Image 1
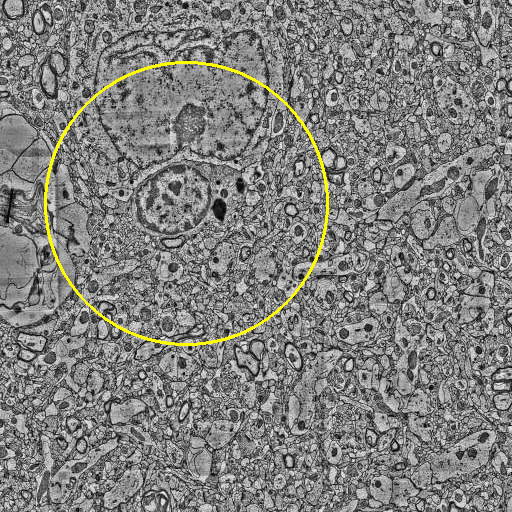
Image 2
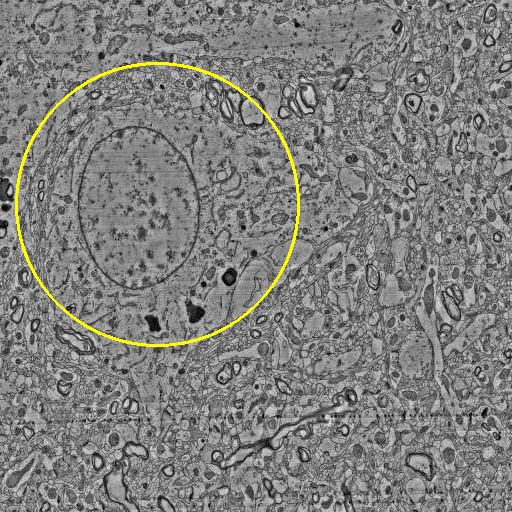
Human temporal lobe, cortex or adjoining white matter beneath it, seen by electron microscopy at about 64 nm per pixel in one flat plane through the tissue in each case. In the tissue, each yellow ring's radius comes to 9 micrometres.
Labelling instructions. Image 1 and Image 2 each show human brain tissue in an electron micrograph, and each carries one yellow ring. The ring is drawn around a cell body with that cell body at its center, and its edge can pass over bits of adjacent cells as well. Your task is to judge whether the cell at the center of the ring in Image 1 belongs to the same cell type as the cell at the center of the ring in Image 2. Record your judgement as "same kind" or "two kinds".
two kinds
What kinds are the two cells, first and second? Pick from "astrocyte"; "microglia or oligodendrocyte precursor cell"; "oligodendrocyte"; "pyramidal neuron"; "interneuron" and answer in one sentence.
The second picture holds a pyramidal neuron in its ring, and the first holds an oligodendrocyte.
